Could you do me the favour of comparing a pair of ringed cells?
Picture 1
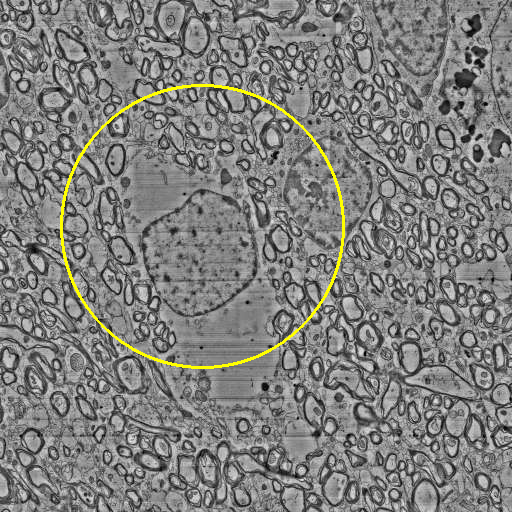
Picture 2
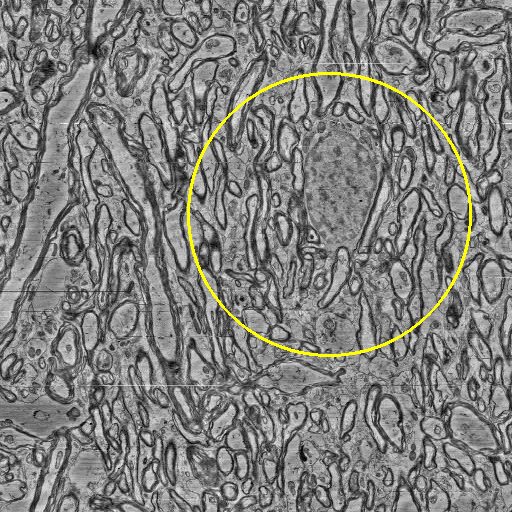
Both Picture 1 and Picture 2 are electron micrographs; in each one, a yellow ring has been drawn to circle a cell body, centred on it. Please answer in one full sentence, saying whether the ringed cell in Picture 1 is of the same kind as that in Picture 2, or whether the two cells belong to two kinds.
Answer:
The ringed cells in Picture 1 and Picture 2 belong to two kinds.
